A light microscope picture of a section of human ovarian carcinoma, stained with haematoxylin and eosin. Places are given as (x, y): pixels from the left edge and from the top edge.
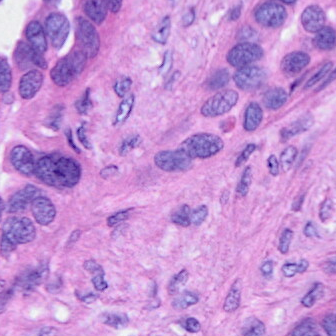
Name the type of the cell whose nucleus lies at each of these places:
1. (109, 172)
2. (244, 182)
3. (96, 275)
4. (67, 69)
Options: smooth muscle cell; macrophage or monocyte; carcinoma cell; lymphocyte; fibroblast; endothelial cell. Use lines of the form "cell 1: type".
cell 1: fibroblast
cell 2: fibroblast
cell 3: fibroblast
cell 4: carcinoma cell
